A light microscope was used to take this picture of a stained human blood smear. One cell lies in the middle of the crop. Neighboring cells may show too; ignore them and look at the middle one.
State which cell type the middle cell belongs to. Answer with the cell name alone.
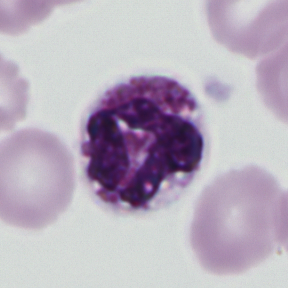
eosinophil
